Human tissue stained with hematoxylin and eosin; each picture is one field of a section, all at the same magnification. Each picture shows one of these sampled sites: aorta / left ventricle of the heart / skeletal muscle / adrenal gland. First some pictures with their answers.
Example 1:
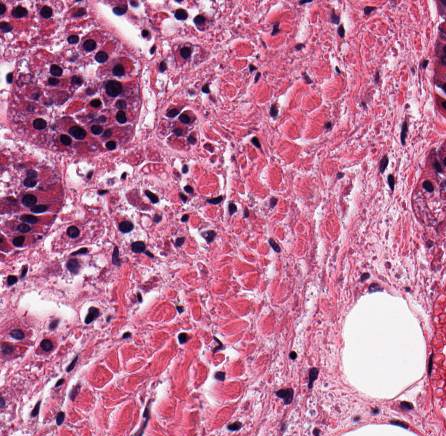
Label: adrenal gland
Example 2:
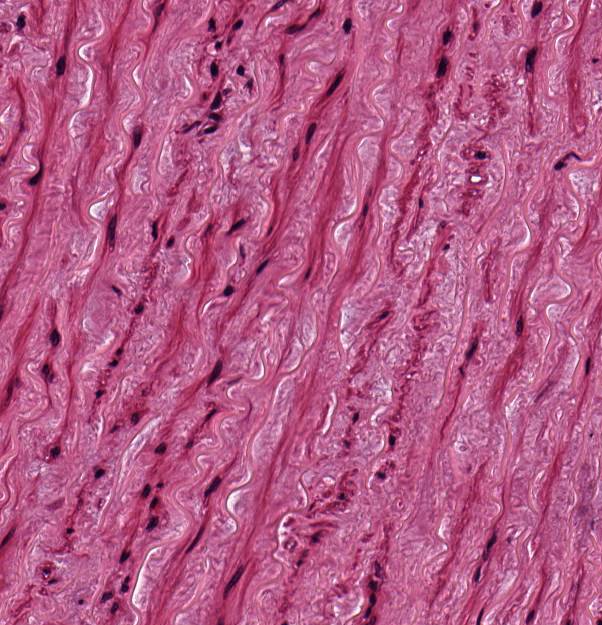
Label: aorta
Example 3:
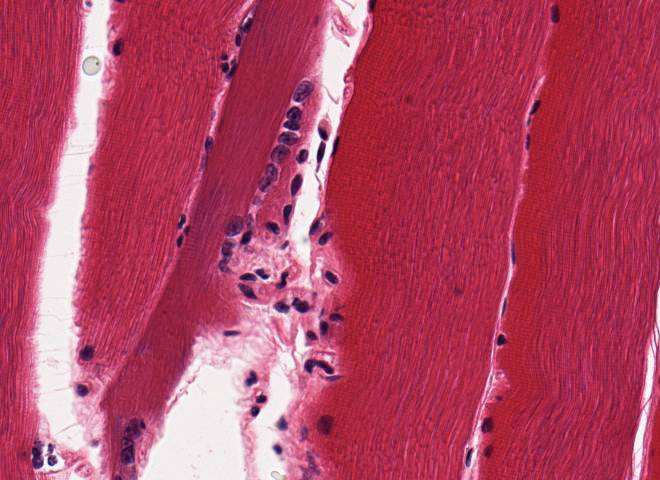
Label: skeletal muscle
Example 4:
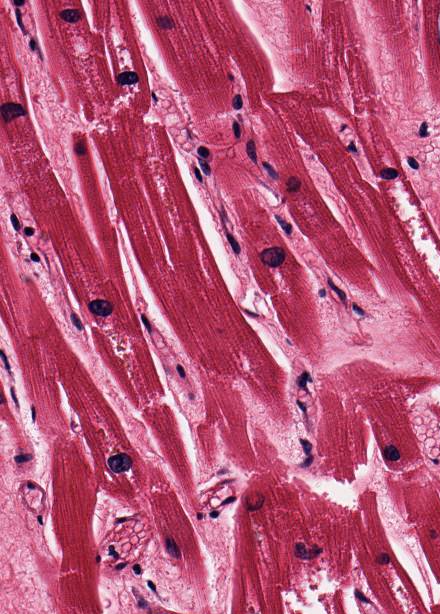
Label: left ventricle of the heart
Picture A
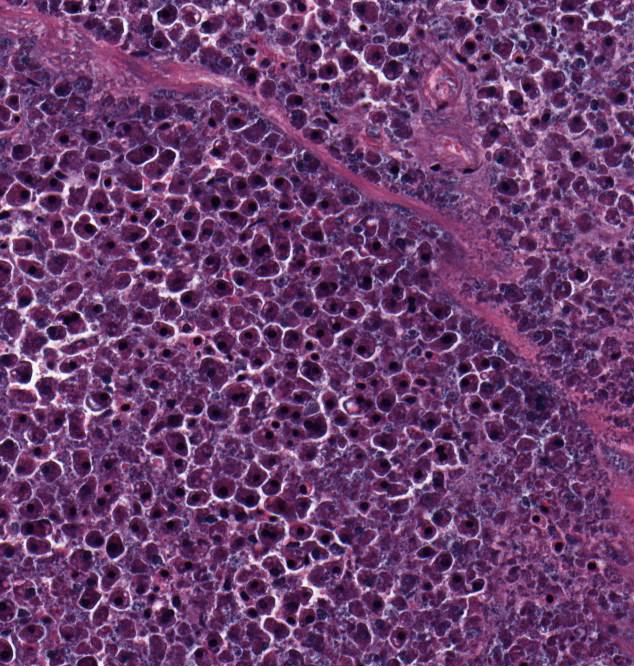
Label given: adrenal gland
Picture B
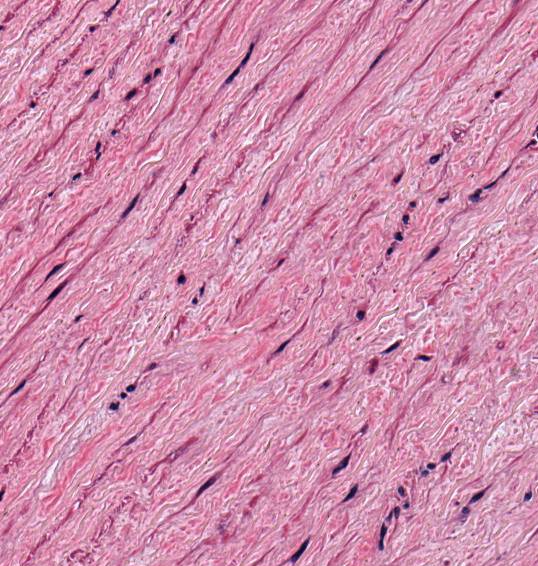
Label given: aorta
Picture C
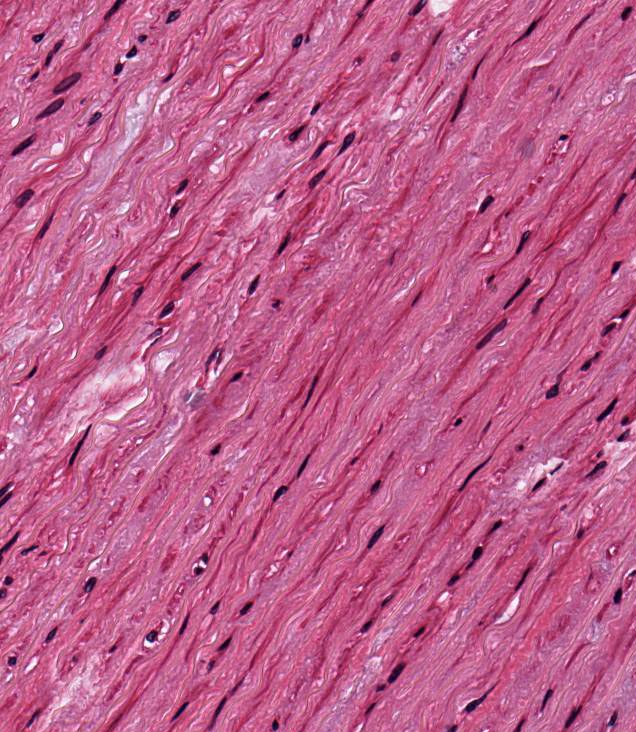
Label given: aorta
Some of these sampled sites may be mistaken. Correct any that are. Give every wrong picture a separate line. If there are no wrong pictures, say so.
All correct.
